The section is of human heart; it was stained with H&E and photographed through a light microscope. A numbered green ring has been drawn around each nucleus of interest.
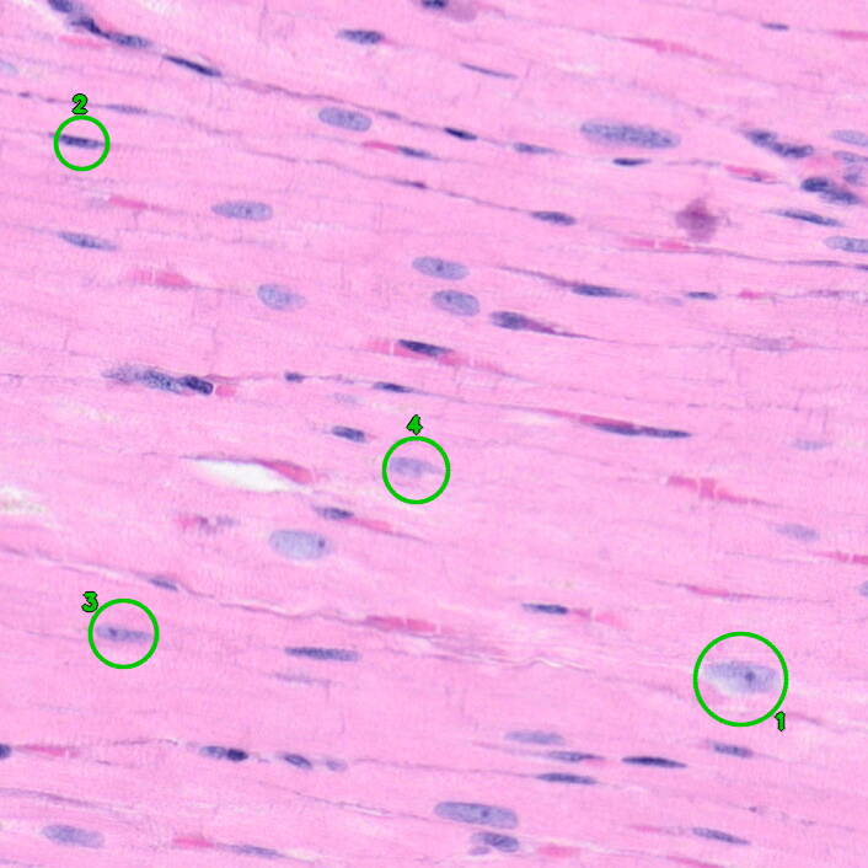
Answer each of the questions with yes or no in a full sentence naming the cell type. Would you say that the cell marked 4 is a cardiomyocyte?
Yes, among the marked cells, the one with number 4 is a cardiomyocyte.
